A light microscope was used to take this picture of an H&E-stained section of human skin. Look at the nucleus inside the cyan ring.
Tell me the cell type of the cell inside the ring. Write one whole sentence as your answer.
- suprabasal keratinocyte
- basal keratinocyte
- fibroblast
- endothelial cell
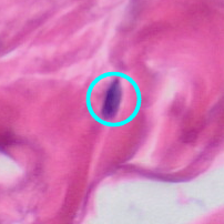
For the purposes of cell typing, the cell inside the ring is categorized as a fibroblast.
